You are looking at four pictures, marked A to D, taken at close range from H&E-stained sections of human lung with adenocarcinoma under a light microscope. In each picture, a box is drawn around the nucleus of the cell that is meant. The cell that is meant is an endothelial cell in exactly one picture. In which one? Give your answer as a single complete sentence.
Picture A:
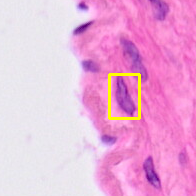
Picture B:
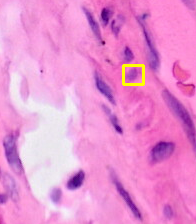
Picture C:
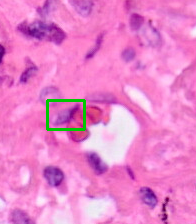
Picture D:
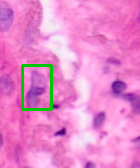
The picture with the endothelial cell is C.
